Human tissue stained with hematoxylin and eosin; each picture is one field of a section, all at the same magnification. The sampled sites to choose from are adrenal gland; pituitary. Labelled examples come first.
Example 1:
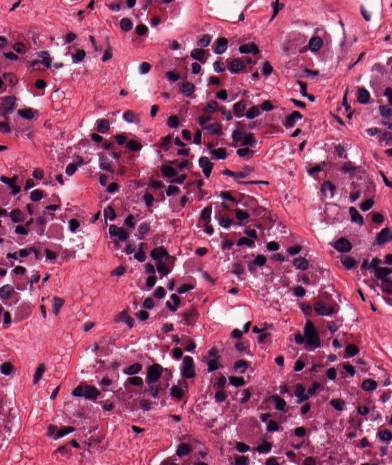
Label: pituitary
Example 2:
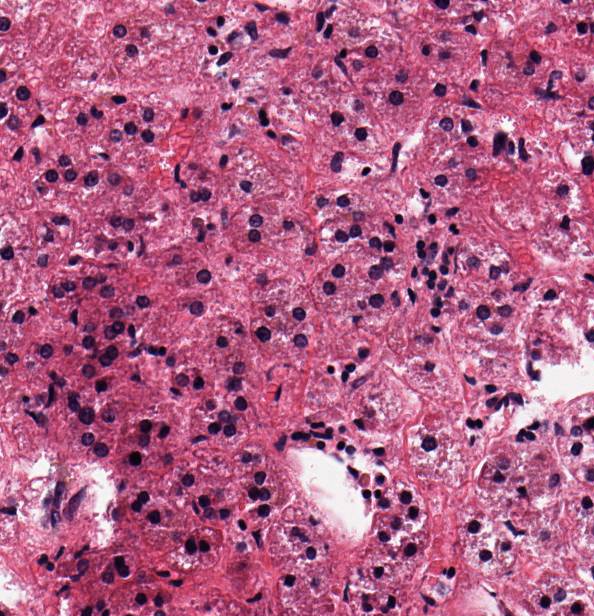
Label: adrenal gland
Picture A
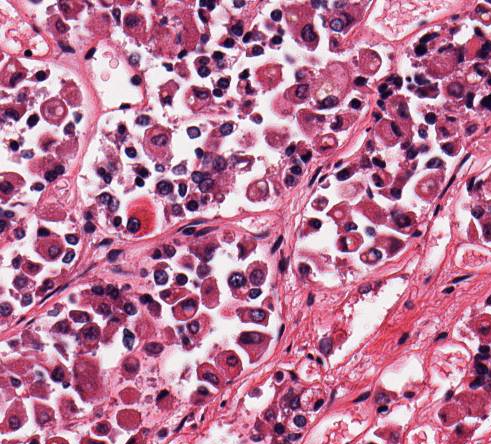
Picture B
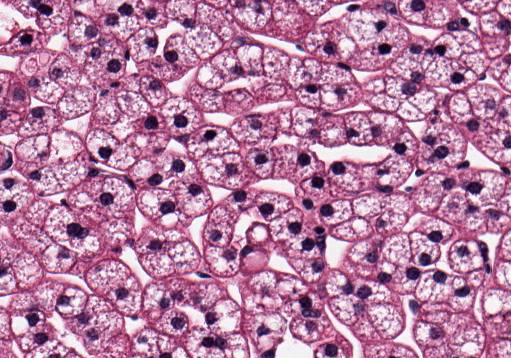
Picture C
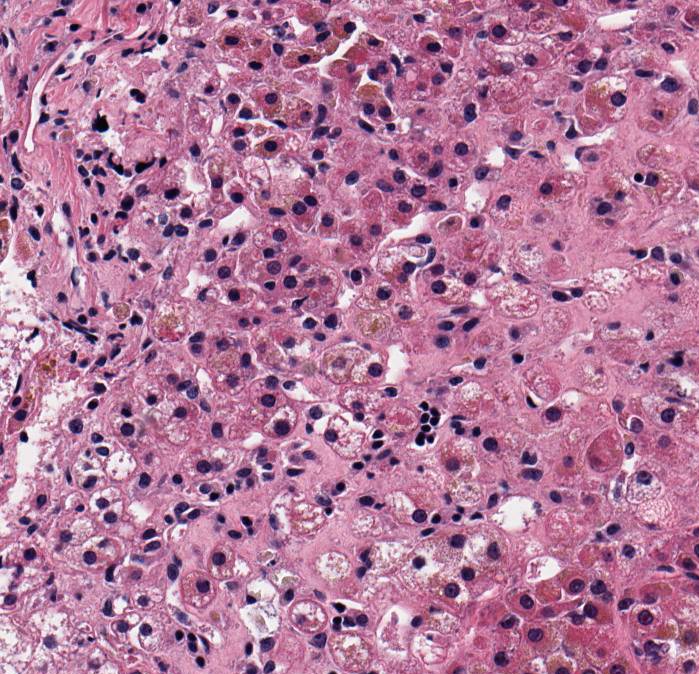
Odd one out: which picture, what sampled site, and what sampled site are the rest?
Odd one out: A (pituitary). The rest: adrenal gland.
